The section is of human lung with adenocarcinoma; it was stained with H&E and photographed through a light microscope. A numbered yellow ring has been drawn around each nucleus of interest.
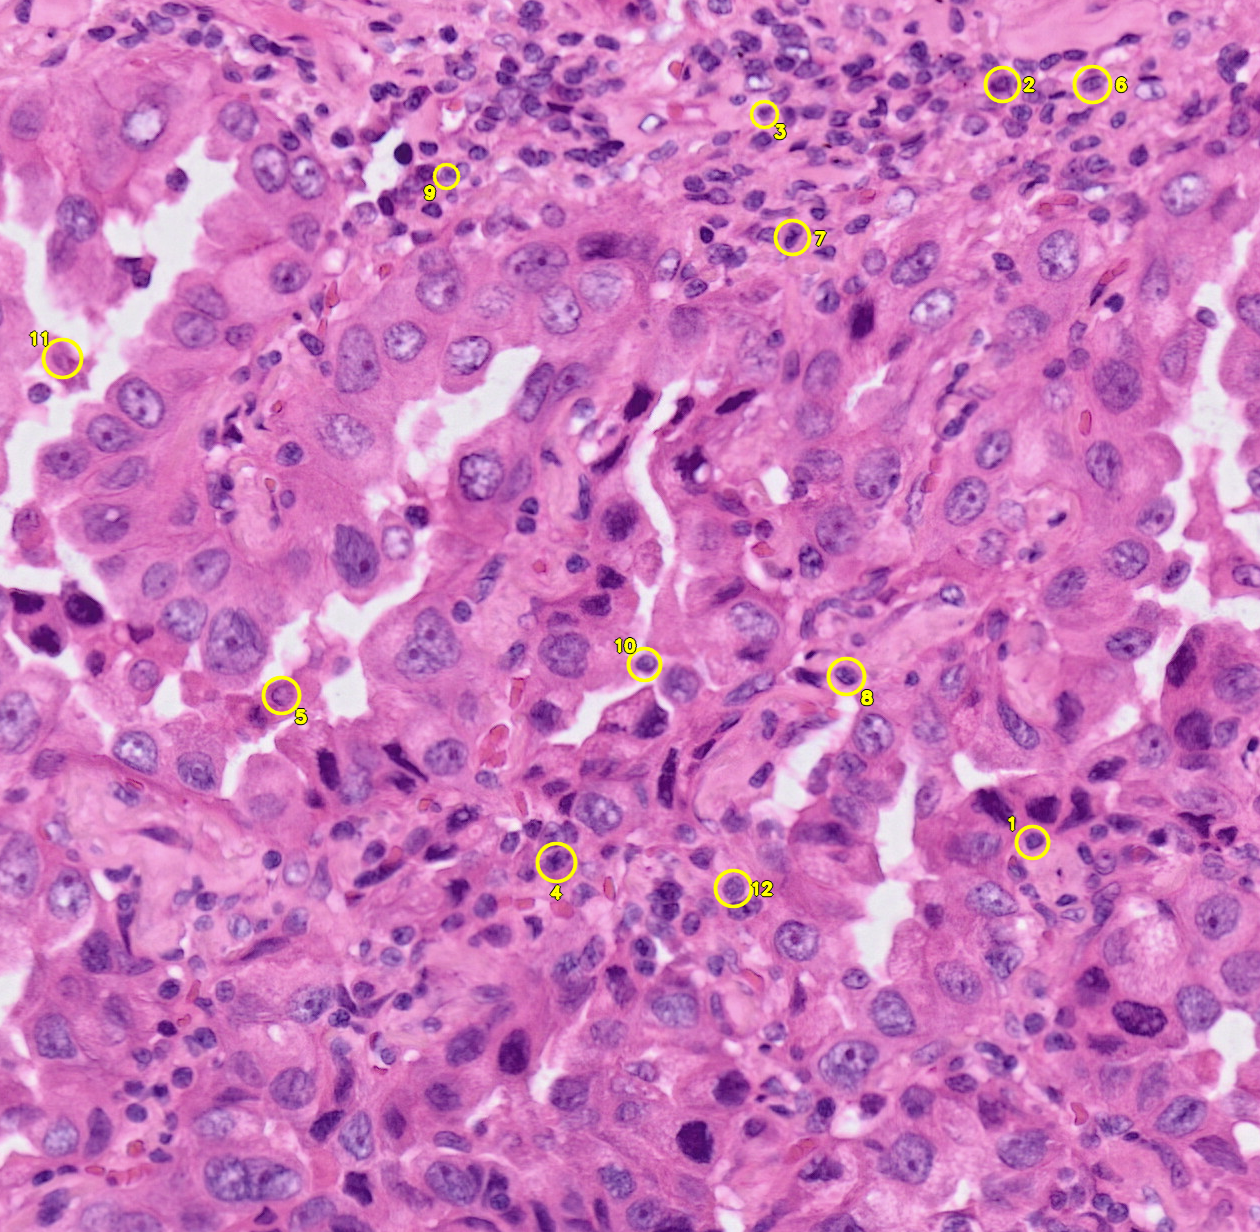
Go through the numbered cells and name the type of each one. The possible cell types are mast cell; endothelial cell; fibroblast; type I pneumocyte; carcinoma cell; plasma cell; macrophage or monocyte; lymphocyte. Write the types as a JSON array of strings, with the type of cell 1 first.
["lymphocyte", "plasma cell", "lymphocyte", "plasma cell", "macrophage or monocyte", "plasma cell", "lymphocyte", "lymphocyte", "lymphocyte", "lymphocyte", "macrophage or monocyte", "lymphocyte"]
